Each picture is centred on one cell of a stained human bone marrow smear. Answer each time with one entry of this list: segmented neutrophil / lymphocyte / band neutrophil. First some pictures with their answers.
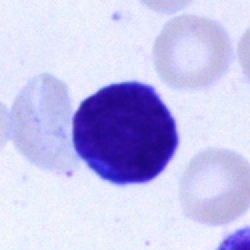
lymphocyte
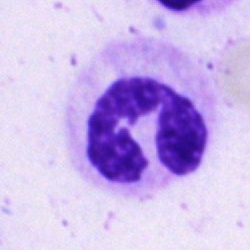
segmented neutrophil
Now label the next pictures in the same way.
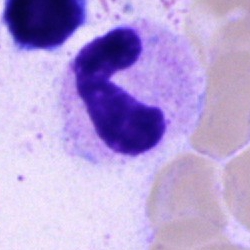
band neutrophil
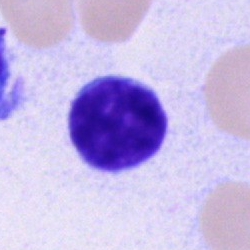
lymphocyte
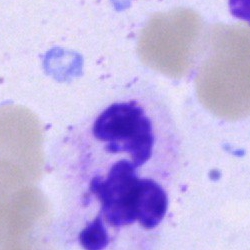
segmented neutrophil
